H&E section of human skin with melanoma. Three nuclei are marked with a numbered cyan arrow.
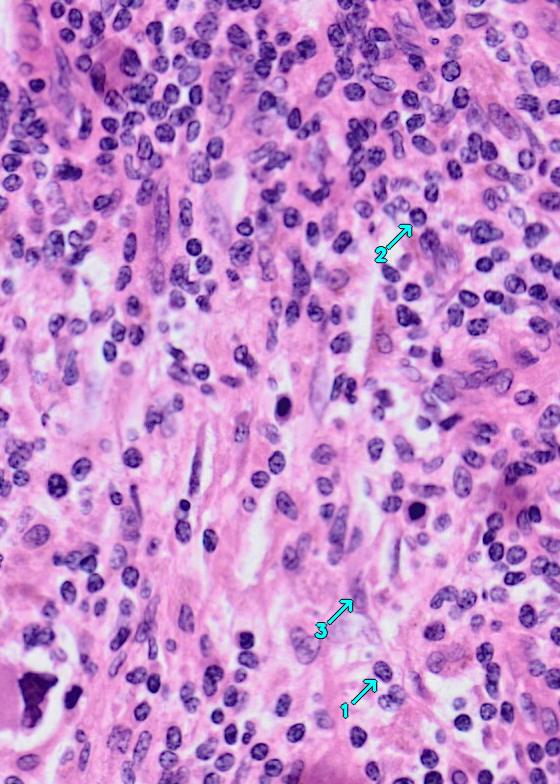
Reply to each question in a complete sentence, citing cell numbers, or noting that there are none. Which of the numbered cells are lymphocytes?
The cells whose numbers are 1 and 2 are lymphocytes.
